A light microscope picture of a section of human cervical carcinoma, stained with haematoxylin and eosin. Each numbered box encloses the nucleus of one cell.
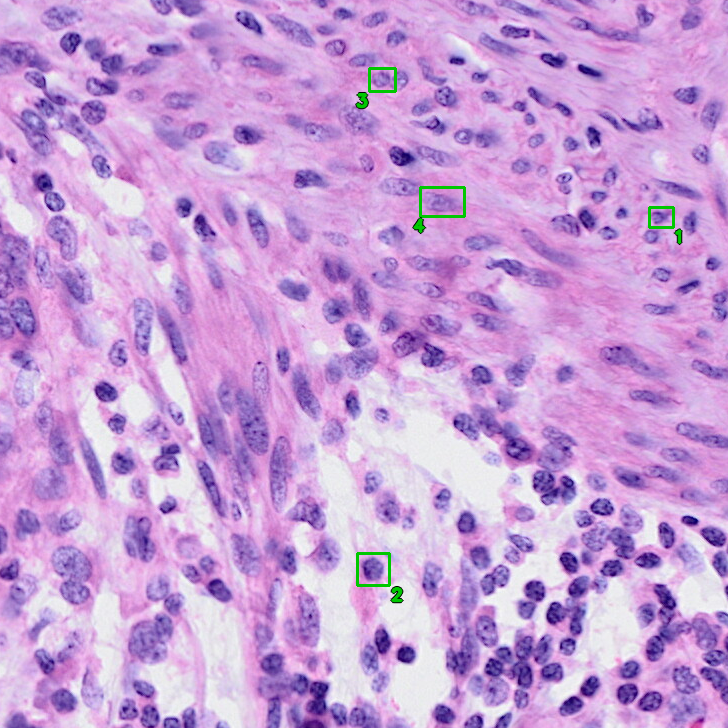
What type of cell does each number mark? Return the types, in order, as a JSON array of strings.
["smooth muscle cell", "lymphocyte", "smooth muscle cell", "smooth muscle cell"]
